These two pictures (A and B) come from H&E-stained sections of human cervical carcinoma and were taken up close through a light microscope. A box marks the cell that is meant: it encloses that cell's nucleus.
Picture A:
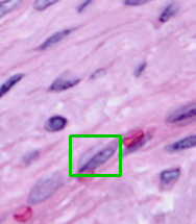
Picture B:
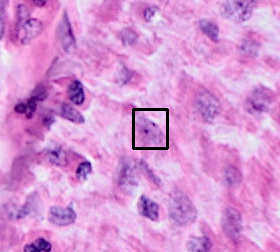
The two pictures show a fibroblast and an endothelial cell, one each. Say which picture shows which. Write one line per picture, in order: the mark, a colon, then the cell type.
A: endothelial cell
B: fibroblast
